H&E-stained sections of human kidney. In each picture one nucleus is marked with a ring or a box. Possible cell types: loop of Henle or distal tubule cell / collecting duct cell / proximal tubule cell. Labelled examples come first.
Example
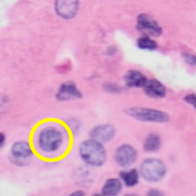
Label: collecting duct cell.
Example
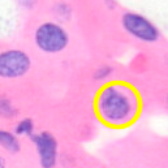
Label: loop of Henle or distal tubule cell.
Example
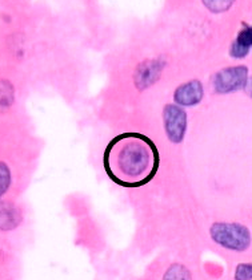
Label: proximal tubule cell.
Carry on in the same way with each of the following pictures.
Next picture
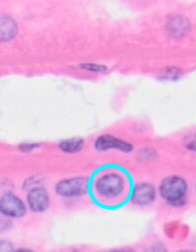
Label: collecting duct cell.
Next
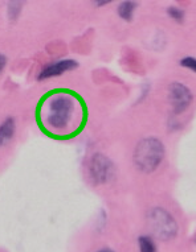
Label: loop of Henle or distal tubule cell.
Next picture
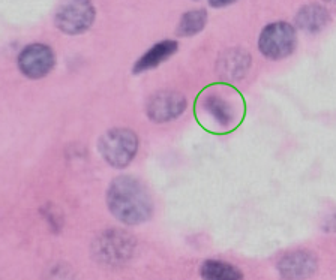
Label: loop of Henle or distal tubule cell.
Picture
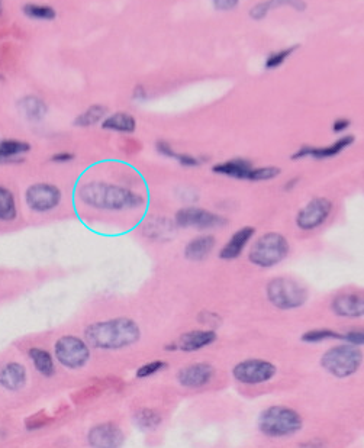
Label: collecting duct cell.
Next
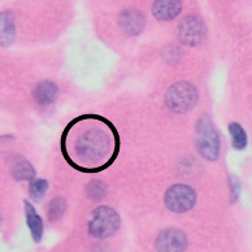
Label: proximal tubule cell.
